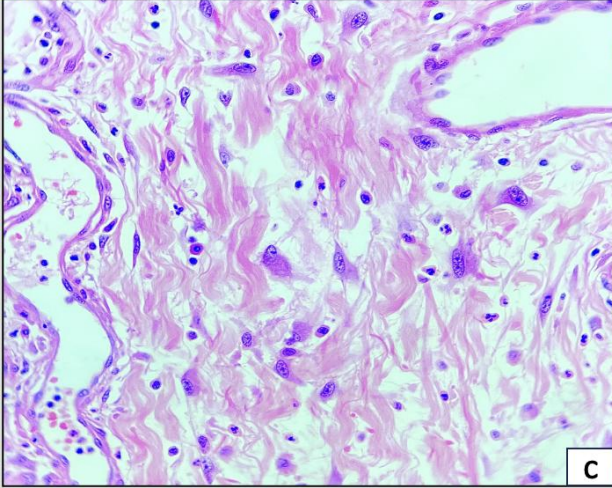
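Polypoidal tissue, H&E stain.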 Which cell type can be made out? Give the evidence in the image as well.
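Discrete plump stromal cells. The cells sit between wavy pink collagen strands.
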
